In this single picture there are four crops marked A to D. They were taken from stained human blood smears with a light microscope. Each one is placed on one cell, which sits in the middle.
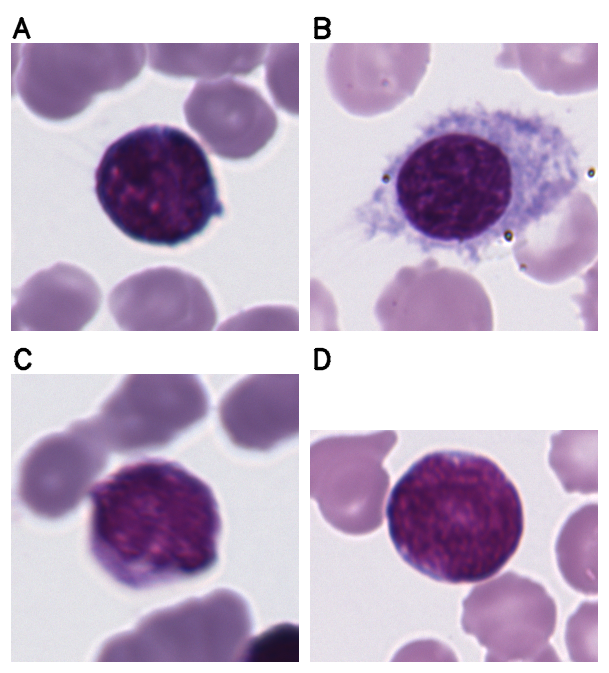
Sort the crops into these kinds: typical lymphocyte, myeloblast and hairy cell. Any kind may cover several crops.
A: myeloblast
B: hairy cell
C: myeloblast
D: myeloblast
